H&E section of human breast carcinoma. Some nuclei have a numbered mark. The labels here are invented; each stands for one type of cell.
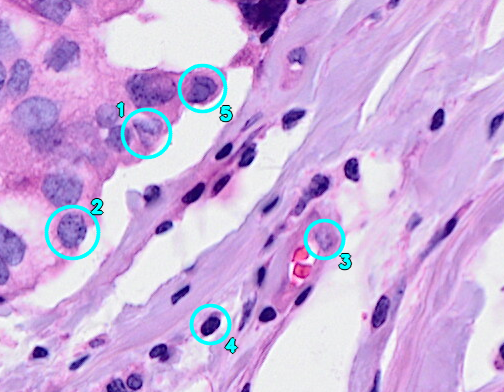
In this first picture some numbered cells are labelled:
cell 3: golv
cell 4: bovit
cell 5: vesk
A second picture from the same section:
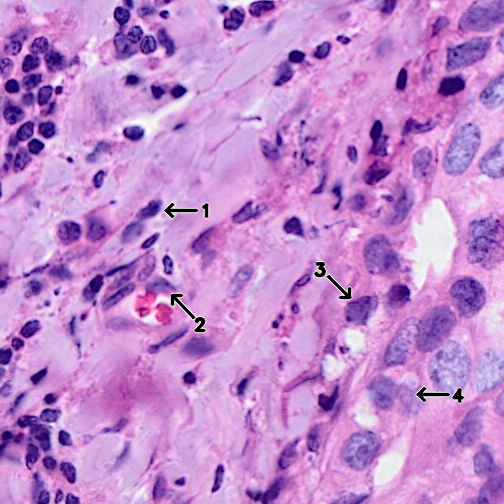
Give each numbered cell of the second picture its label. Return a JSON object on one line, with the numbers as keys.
{"1": "bovit", "2": "golv", "3": "vesk", "4": "vesk"}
